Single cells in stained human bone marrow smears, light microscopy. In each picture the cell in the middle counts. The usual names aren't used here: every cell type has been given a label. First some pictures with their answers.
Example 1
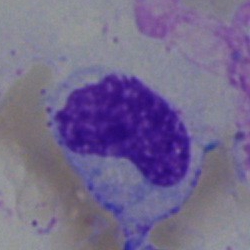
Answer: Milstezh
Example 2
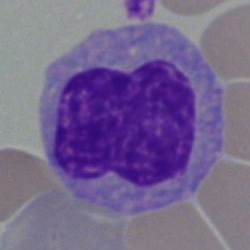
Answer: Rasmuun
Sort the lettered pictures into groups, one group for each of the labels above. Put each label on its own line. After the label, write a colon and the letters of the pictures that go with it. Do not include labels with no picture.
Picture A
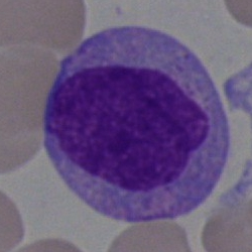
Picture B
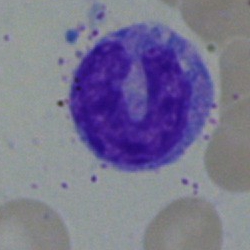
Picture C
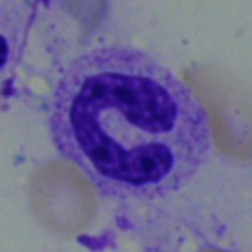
Milstezh: C
Rasmuun: A, B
